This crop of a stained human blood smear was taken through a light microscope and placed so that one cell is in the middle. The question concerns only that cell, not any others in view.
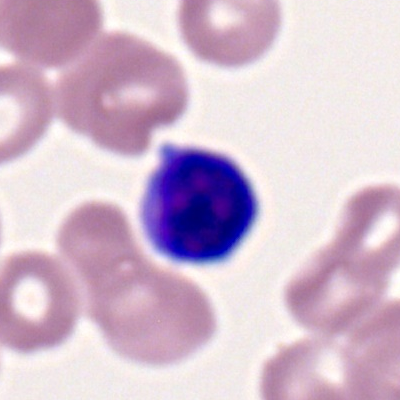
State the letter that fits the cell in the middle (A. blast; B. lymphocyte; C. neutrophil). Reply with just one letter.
B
